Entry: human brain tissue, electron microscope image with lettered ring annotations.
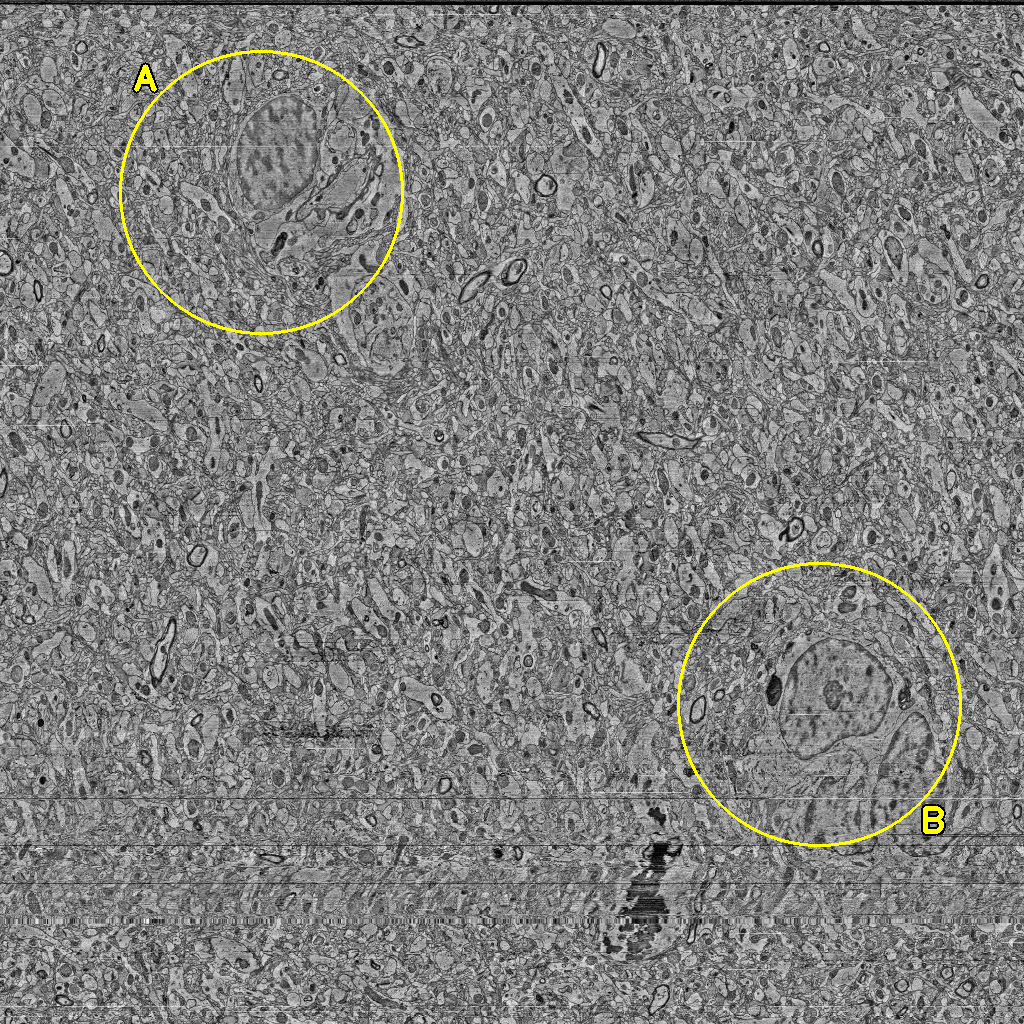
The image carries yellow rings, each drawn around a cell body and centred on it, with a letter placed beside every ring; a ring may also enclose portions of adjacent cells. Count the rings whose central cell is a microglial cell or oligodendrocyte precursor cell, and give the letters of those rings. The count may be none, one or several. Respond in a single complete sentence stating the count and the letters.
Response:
There is one ring, and one only, centred on a microglial cell or oligodendrocyte precursor cell, and it is lettered B.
